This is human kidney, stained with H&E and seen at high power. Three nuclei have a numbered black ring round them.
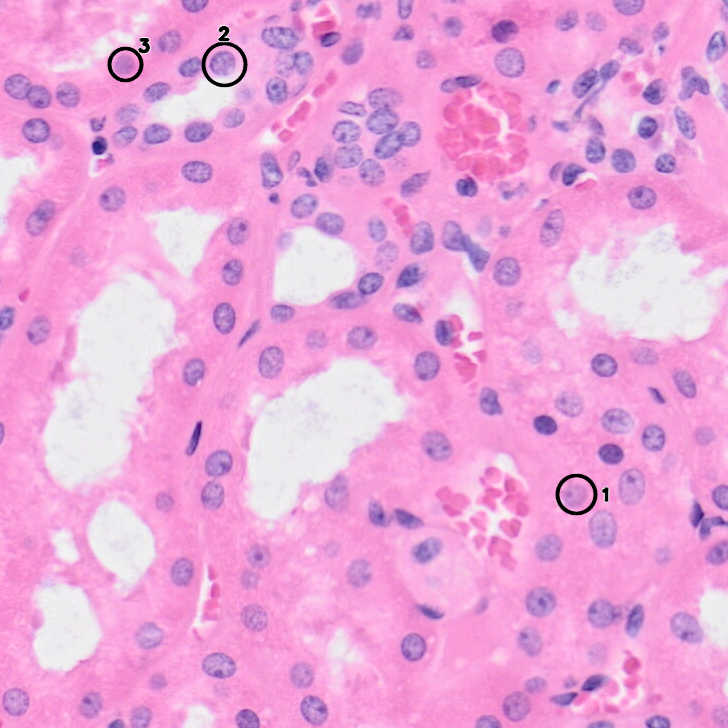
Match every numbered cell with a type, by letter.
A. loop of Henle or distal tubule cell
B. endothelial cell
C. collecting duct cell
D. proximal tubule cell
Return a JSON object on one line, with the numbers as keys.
{"1": "D", "2": "C", "3": "D"}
